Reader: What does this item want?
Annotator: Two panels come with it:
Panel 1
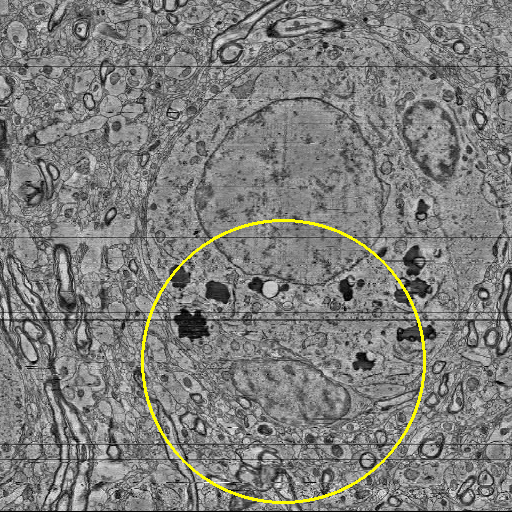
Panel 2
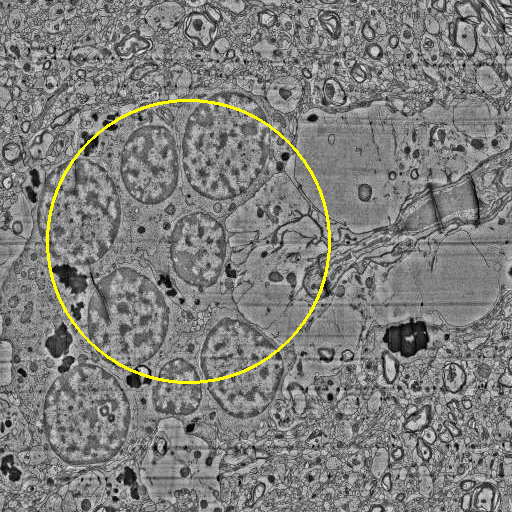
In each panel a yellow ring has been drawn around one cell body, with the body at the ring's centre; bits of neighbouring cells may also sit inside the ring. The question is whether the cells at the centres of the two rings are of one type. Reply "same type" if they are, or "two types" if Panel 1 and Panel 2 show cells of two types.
same type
